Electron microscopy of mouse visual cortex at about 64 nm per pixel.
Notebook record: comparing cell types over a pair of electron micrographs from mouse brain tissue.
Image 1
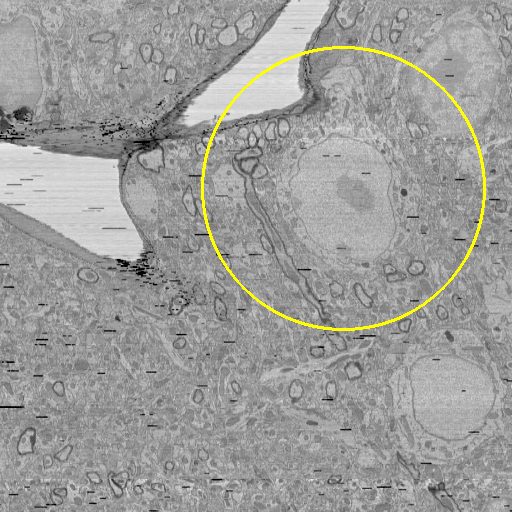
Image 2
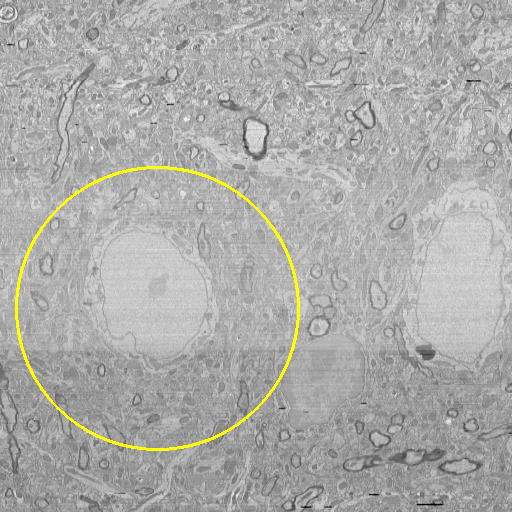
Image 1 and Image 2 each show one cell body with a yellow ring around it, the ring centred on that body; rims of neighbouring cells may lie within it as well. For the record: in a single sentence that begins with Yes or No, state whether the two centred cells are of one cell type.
Yes, one cell type is shared by the centred cells of Image 1 and Image 2.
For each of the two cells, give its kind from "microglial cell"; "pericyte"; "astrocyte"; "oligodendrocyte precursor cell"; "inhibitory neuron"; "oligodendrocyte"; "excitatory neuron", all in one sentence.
The cell at the ring centre is an excitatory neuron in both pictures.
